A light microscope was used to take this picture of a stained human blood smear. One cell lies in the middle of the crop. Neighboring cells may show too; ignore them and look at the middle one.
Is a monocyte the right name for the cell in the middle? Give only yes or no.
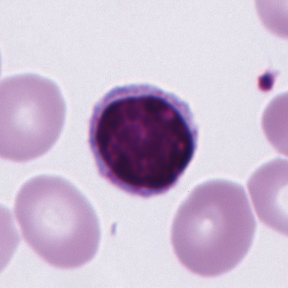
no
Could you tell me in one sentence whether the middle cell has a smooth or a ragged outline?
Ragged or projecting, the border of this cell departs from a smooth contour.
